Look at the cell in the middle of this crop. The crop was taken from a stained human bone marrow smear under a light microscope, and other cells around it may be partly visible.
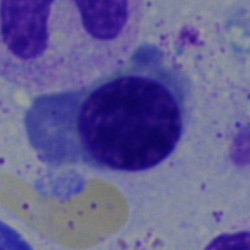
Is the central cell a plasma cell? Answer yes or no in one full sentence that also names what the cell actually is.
No, sorry, the middle cell is a normoblast rather than a plasma cell.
